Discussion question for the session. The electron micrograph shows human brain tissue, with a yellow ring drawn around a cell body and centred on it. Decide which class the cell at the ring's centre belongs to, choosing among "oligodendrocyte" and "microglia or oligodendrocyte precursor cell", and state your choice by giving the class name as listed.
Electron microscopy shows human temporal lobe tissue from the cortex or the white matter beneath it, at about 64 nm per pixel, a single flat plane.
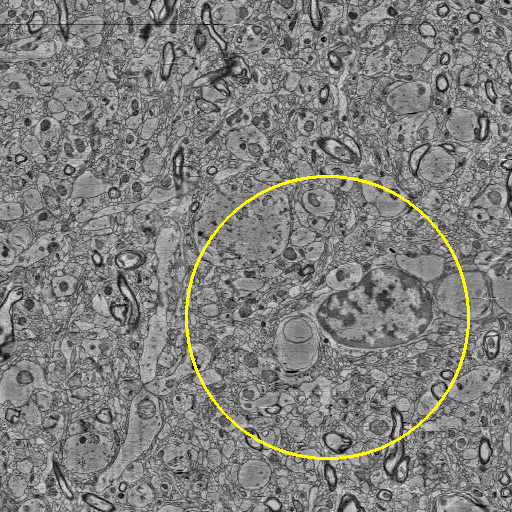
microglia or oligodendrocyte precursor cell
